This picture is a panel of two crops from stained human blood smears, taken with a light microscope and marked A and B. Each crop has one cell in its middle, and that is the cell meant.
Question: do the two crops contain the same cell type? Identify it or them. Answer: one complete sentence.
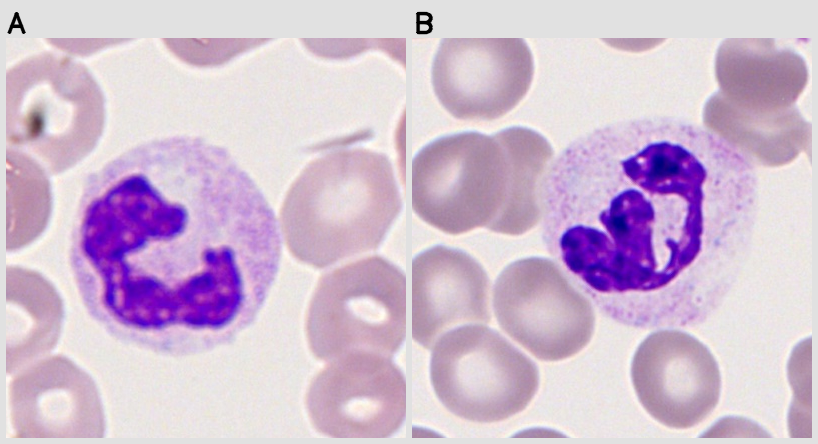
Yes, in the middle of both crops lie segmented neutrophils.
